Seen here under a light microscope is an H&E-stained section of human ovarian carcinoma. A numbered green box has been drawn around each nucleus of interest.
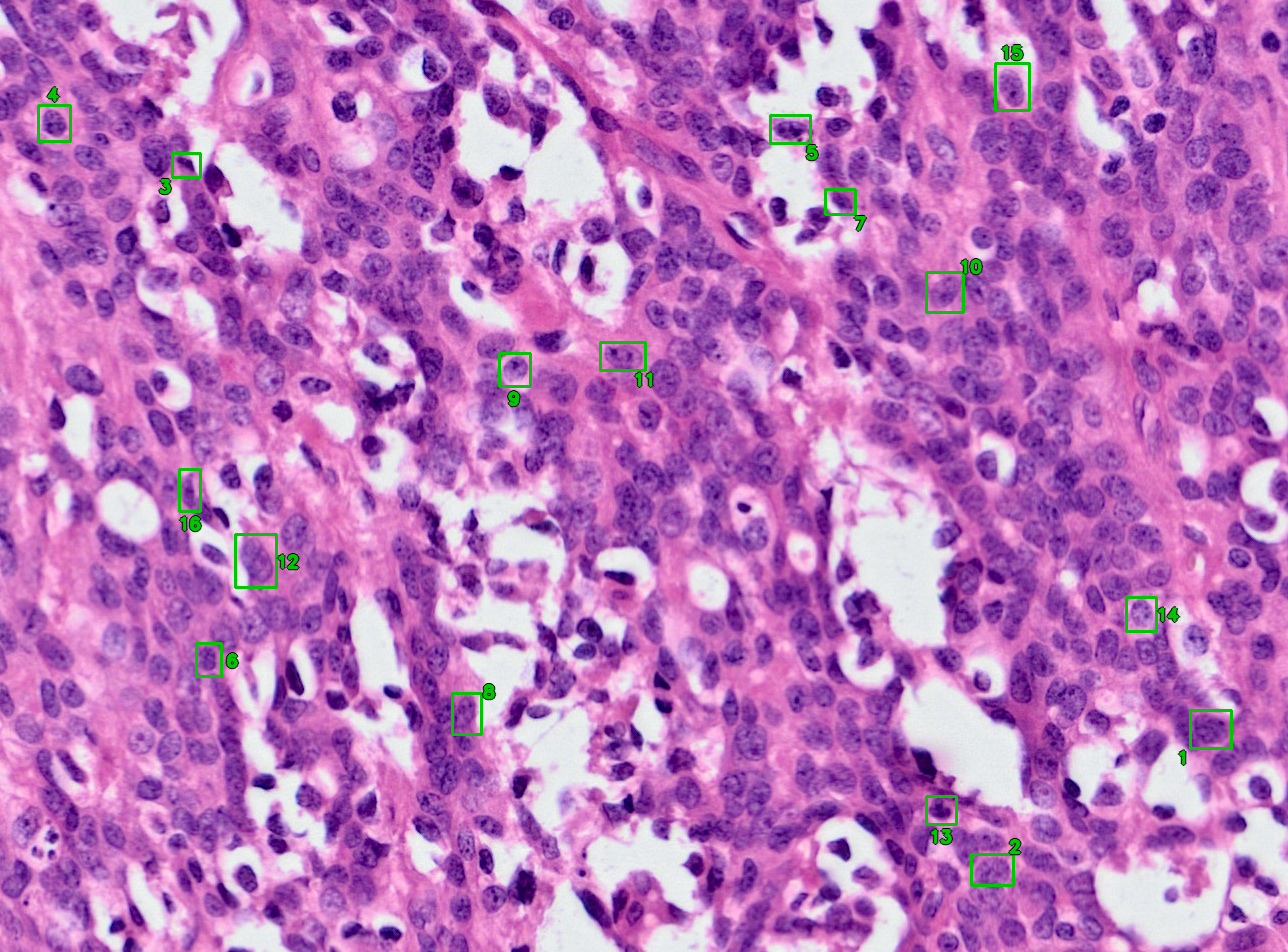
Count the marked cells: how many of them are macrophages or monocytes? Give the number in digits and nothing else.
7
